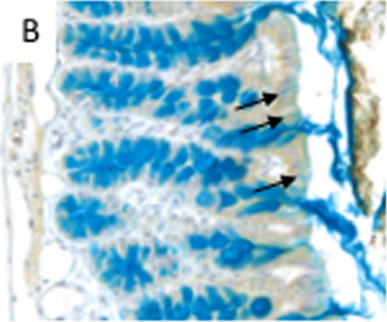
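This is a section of colon with parallel crypts filled with blue-stained goblet cells opening onto the luminal surface. The goblet cells hold rounded blue mucin droplets, in places merging into irregular blue masses along the crypts. At the tops of the crypts, near the surface epithelium, several cells show a brownish staining. Strands of blue mucus extend from the crypt openings into the lumen, and brown fecal material lies at the right edge.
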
